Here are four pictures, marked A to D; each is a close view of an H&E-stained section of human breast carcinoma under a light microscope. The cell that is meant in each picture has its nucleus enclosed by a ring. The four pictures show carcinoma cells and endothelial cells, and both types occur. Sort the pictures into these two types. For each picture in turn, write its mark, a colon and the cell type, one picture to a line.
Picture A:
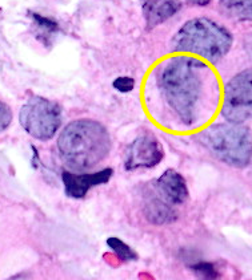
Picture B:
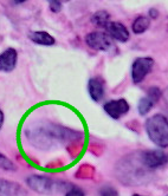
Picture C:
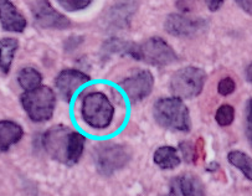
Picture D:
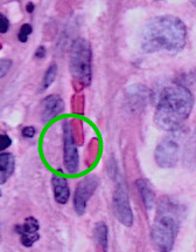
A: carcinoma cell
B: endothelial cell
C: carcinoma cell
D: endothelial cell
